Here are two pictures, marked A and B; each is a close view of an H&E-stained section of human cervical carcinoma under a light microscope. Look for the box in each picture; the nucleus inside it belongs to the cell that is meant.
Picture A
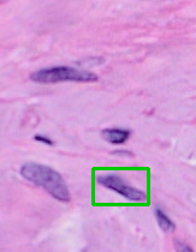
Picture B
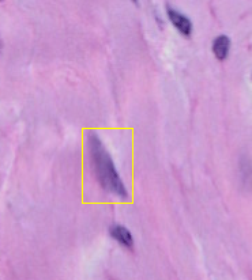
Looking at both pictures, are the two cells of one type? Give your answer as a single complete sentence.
Yes, both are fibroblasts.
